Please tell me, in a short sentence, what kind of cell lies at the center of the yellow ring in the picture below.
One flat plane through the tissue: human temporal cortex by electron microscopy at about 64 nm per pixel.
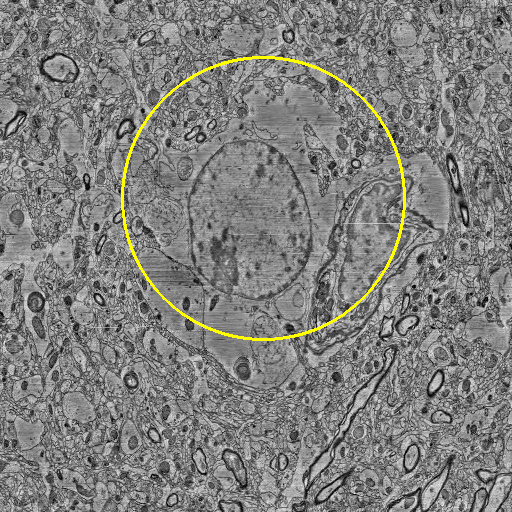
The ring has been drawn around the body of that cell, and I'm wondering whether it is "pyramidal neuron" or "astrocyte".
The cell at the center of the ring is an astrocyte.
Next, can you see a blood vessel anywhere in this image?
Yes.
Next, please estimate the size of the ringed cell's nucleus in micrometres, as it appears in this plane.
About 11 by 8 micrometers for the nucleus, in this plane.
